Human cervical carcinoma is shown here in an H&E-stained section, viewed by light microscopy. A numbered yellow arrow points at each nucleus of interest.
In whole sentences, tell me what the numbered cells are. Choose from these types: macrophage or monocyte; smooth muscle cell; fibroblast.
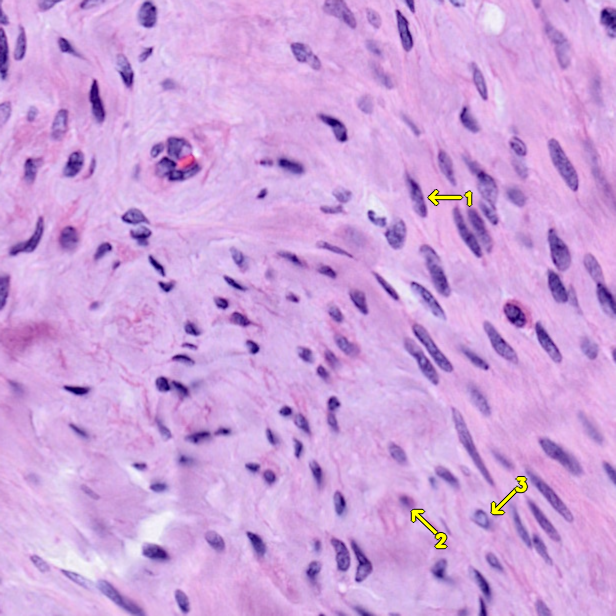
Cell 1 is a fibroblast, cell 2 is a smooth muscle cell and cell 3 is a smooth muscle cell.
